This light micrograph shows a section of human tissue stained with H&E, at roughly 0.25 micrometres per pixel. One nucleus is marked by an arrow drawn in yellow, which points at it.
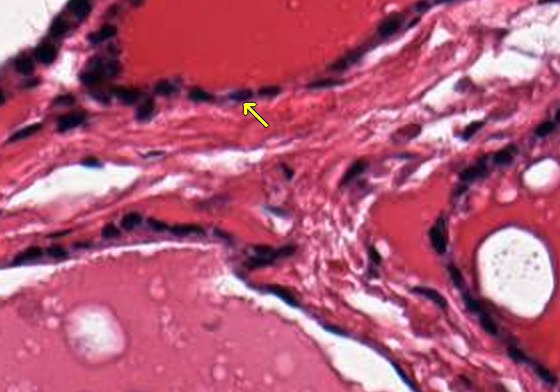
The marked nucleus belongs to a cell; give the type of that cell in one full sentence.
On this slide, the marked nucleus belongs to a thyroid follicular cell.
